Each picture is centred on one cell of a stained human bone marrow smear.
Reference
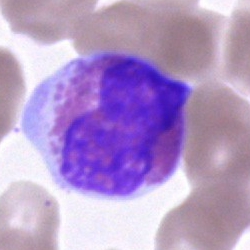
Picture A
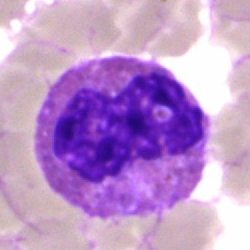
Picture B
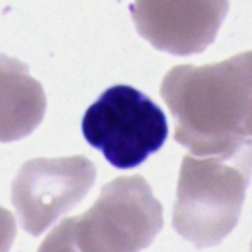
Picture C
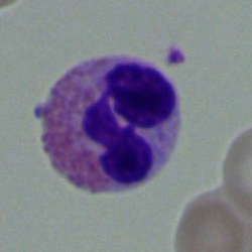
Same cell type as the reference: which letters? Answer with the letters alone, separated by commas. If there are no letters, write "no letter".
A, C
